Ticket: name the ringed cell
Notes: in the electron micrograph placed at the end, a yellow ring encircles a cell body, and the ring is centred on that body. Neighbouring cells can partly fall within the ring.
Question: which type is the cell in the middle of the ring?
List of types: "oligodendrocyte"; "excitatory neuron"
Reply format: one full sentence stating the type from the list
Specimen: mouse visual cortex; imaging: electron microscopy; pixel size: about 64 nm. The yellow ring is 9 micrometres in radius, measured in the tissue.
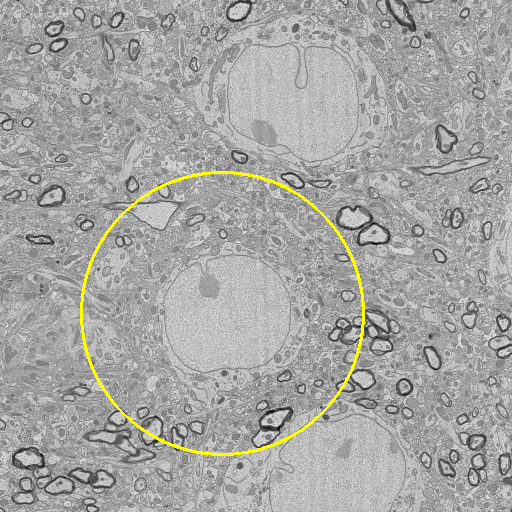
The cell sitting at the centre of the yellow ring is an excitatory neuron.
